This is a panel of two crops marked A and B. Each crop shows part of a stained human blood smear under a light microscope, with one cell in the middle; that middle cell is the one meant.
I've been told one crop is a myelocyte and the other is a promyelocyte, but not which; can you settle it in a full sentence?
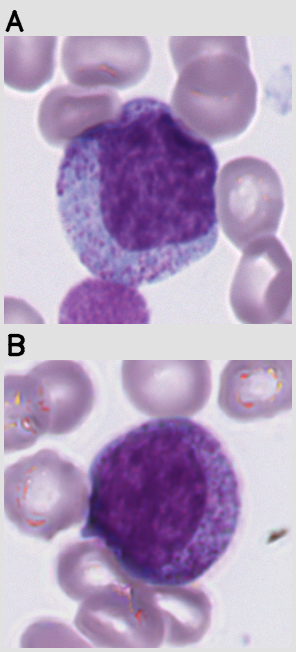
Well, crop A is a promyelocyte, and crop B is a myelocyte.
